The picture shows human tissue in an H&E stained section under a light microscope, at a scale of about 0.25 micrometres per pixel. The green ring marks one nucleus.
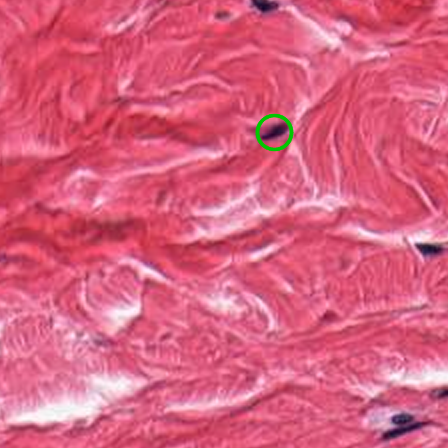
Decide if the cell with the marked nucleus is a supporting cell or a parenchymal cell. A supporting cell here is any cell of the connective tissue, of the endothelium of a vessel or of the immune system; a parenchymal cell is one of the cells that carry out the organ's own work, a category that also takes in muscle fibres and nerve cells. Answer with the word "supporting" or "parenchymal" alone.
supporting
